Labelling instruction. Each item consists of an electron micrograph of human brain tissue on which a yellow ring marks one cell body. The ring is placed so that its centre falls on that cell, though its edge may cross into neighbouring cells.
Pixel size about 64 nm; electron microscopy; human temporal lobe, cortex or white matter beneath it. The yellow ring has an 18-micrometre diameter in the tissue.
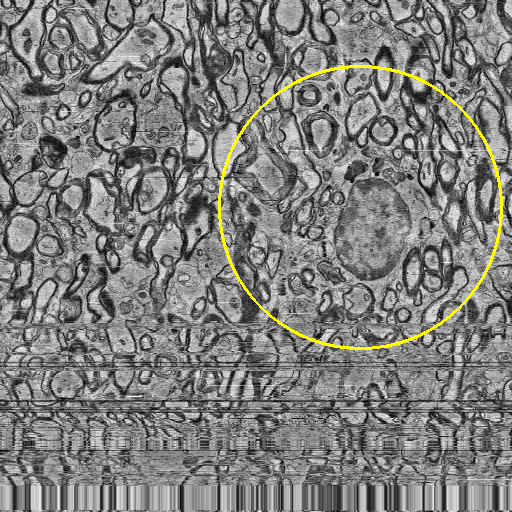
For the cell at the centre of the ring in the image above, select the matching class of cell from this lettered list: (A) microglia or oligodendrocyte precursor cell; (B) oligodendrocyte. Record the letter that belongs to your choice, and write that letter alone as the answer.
A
